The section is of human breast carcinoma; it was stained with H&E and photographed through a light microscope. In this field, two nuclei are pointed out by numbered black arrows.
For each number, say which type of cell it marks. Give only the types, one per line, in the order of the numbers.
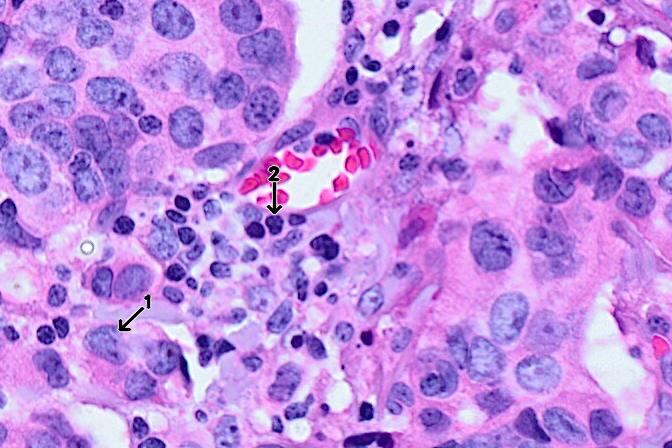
carcinoma cell
lymphocyte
